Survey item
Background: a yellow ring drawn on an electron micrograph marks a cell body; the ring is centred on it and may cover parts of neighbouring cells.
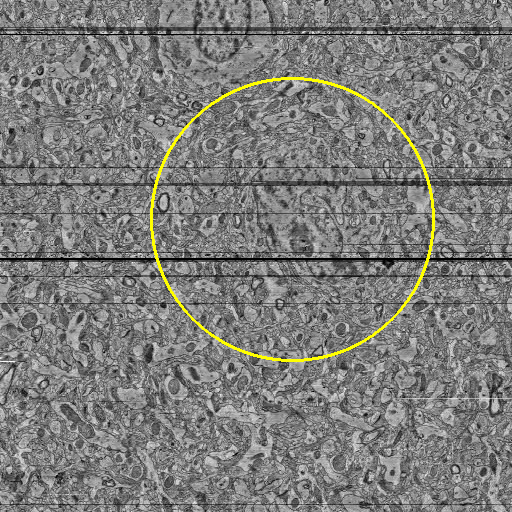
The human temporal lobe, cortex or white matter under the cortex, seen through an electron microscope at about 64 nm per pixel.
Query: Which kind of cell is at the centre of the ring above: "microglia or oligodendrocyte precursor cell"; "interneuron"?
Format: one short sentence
The cell in the middle of the ring is an interneuron.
